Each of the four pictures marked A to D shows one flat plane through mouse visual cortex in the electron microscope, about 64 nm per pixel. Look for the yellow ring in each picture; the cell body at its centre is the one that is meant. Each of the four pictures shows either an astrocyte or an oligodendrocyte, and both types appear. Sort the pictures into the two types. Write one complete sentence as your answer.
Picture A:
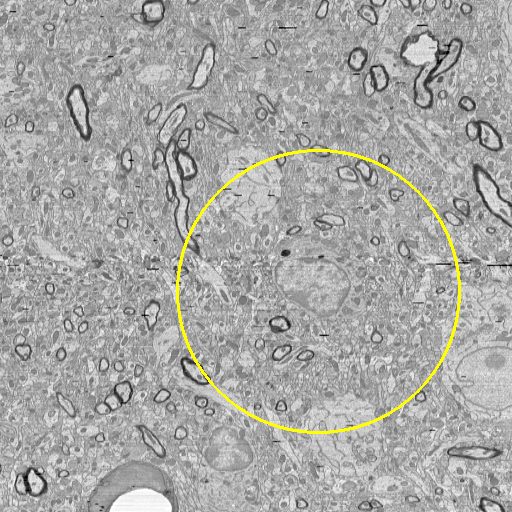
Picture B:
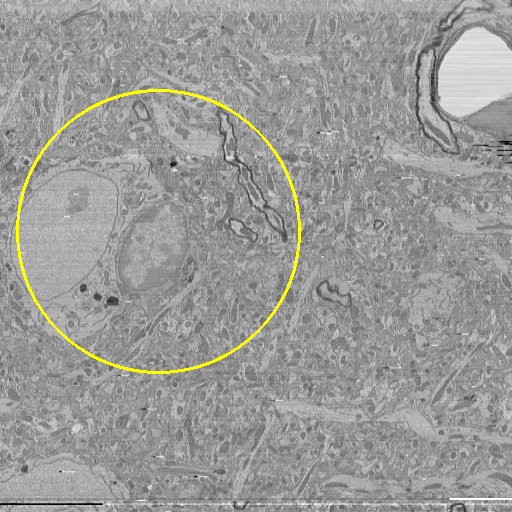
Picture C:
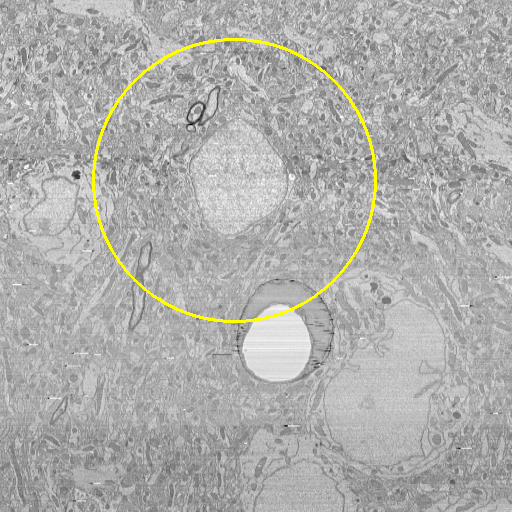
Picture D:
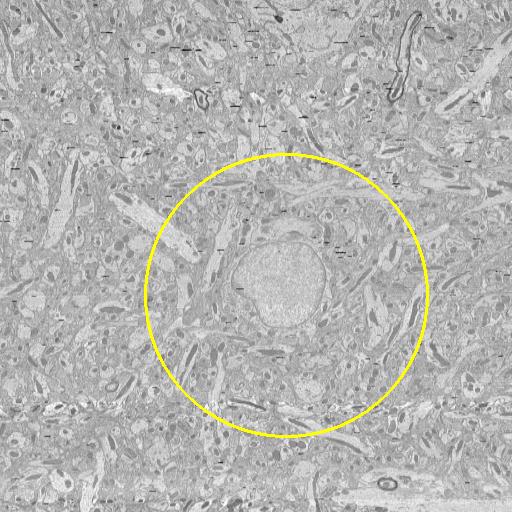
Pictures C and D show astrocytes, and pictures A and B show oligodendrocytes.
